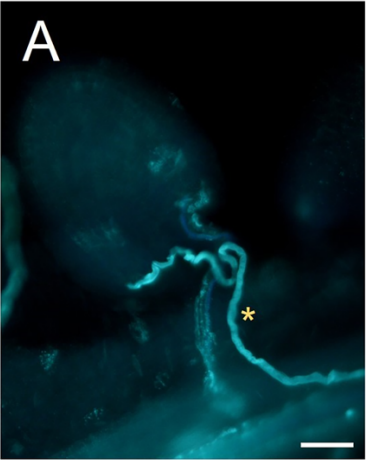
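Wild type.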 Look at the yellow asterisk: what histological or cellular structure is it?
pollen tube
